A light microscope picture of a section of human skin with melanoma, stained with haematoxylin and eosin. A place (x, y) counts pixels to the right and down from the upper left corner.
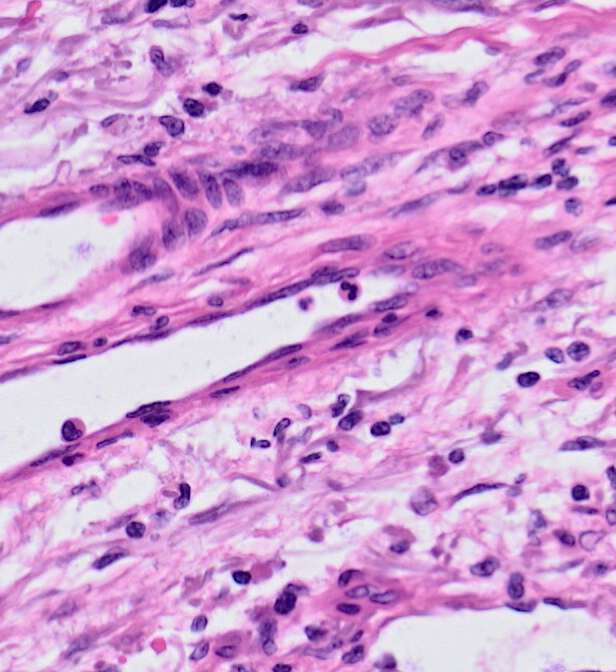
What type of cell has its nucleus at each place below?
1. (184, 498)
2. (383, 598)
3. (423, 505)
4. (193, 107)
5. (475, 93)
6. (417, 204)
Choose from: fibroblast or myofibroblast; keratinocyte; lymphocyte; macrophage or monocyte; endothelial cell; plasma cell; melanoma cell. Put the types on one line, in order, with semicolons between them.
lymphocyte; endothelial cell; fibroblast or myofibroblast; plasma cell; macrophage or monocyte; fibroblast or myofibroblast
